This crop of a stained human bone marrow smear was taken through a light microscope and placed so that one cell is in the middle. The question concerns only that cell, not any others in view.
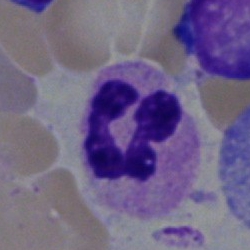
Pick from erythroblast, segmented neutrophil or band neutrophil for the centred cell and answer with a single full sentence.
This particular crop is centered on a segmented neutrophil.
